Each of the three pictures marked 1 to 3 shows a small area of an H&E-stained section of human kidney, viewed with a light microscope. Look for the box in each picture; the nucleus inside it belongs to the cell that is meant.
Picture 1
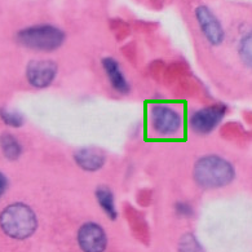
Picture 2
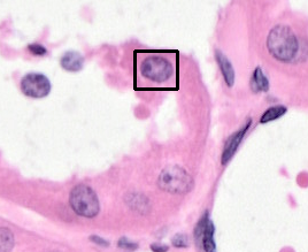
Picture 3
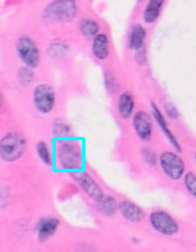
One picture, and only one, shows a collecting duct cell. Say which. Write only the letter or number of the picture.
3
